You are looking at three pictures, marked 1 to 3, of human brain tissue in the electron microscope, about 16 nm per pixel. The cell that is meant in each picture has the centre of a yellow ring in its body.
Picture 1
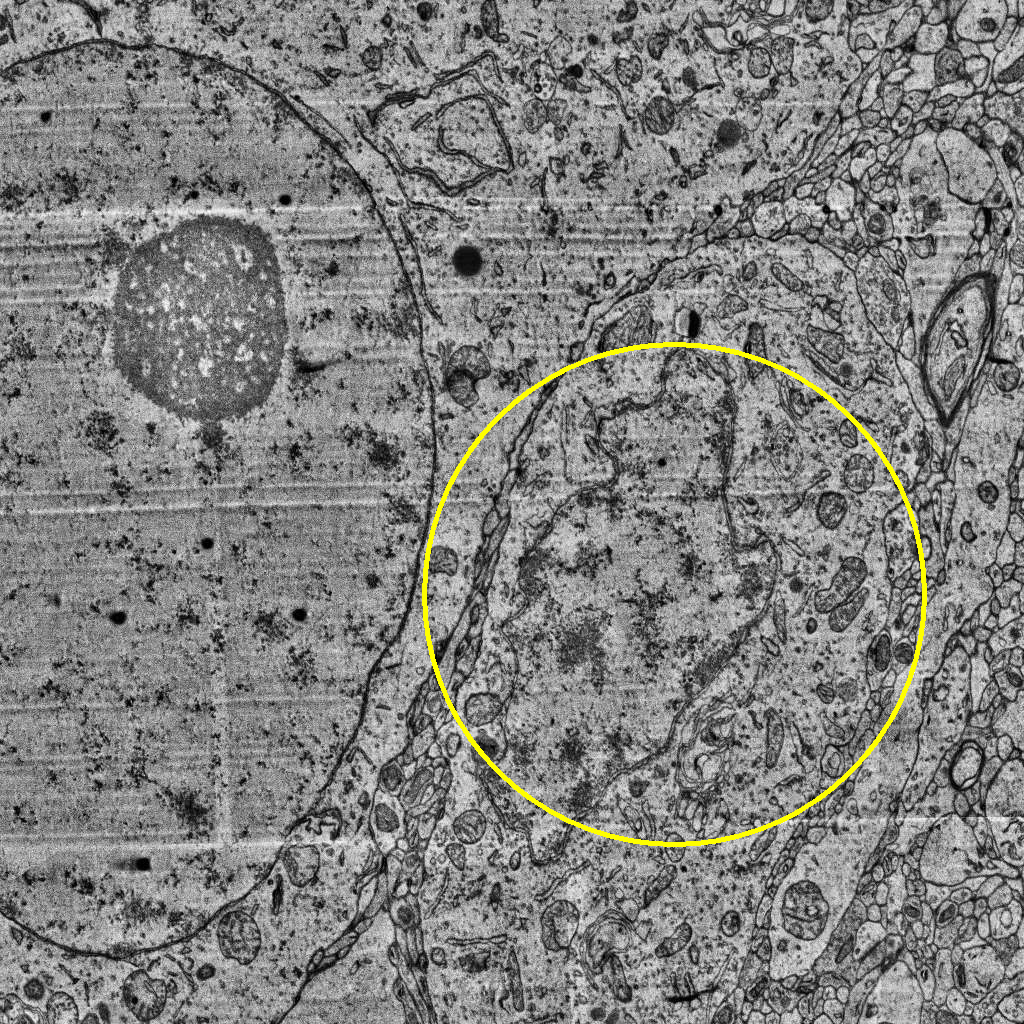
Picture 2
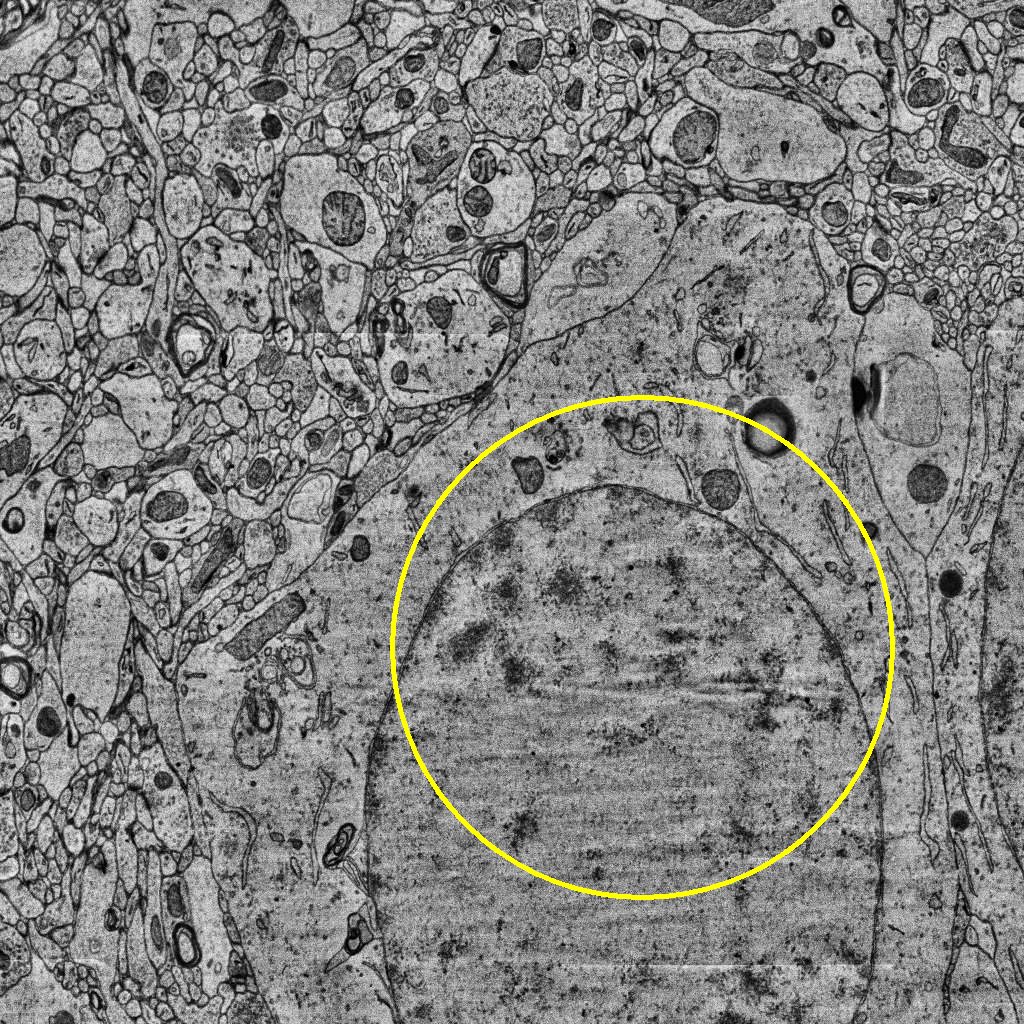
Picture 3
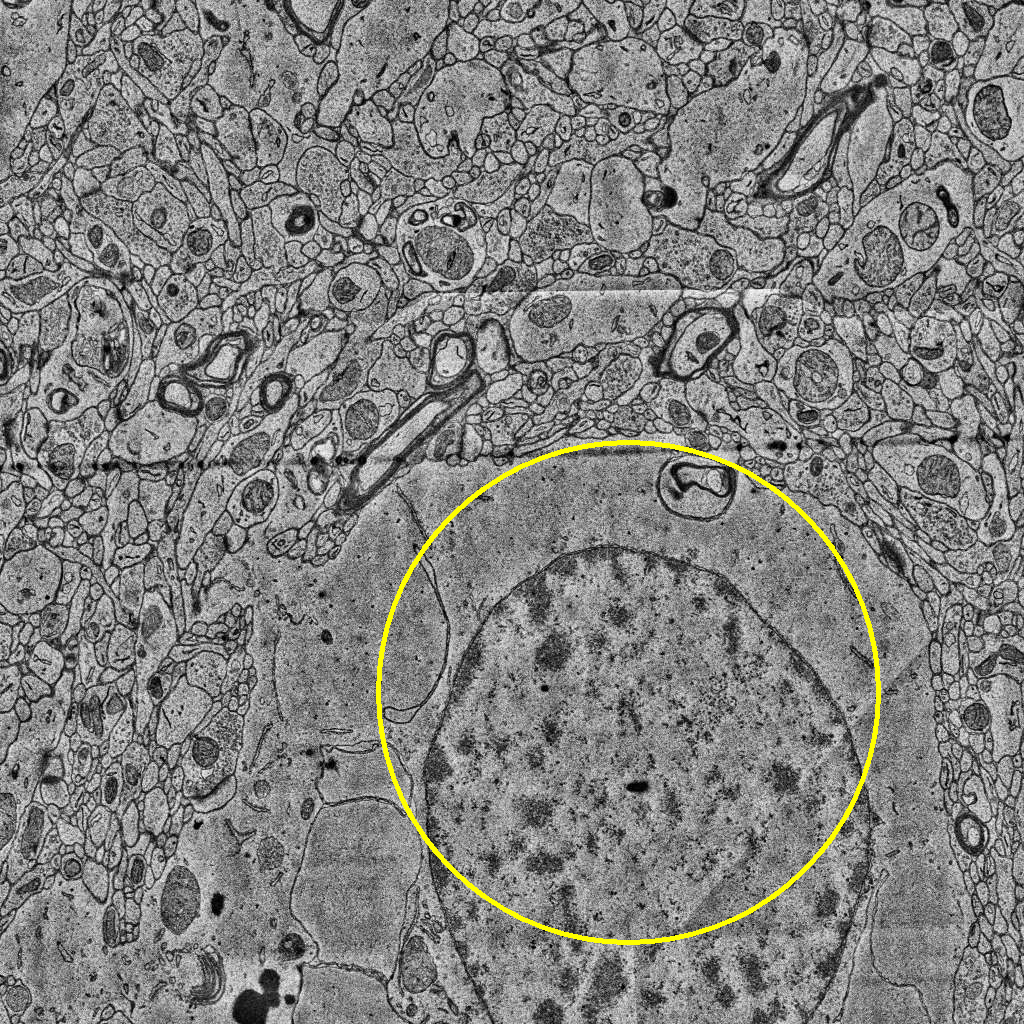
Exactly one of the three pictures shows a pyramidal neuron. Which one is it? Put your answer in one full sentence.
Picture 2 shows the pyramidal neuron.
